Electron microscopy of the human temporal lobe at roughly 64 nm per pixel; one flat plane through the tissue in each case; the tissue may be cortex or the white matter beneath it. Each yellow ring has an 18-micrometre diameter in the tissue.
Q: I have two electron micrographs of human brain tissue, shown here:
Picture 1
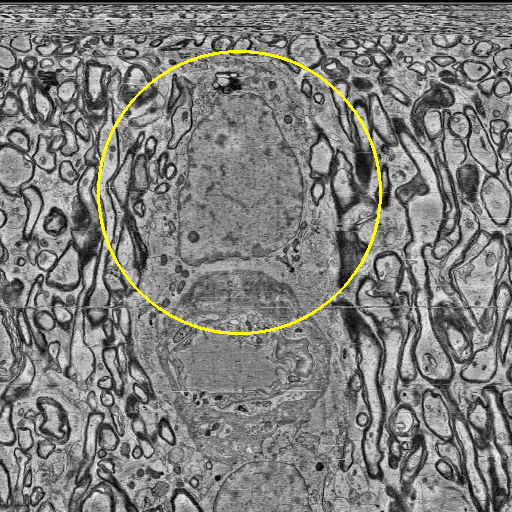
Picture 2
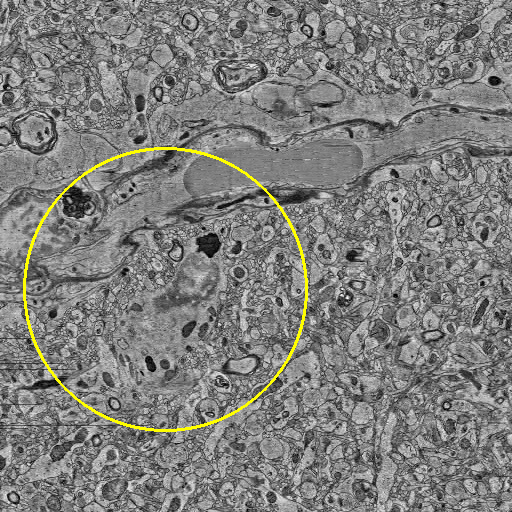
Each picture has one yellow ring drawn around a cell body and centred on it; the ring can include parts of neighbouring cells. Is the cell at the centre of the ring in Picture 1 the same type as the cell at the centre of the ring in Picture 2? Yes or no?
no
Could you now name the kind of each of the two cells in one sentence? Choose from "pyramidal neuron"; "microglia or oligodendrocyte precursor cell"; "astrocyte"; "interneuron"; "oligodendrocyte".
The first ring encloses an astrocyte; the second ring encloses an oligodendrocyte.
